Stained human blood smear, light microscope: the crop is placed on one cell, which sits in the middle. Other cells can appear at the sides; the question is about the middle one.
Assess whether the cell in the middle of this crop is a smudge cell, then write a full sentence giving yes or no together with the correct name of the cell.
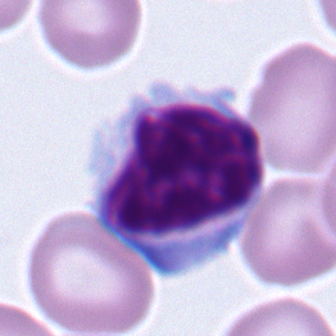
No, the cell located centrally is a typical lymphocyte rather than a smudge cell.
